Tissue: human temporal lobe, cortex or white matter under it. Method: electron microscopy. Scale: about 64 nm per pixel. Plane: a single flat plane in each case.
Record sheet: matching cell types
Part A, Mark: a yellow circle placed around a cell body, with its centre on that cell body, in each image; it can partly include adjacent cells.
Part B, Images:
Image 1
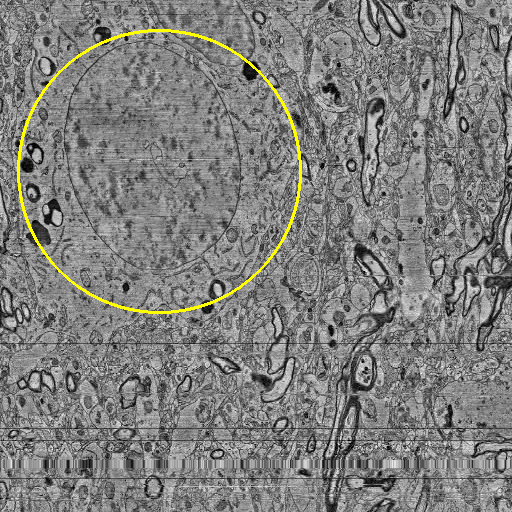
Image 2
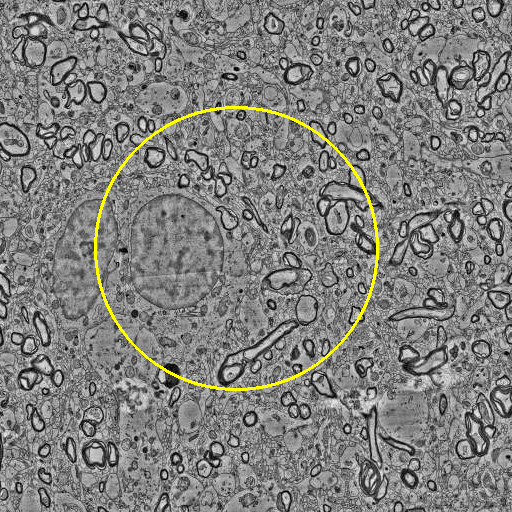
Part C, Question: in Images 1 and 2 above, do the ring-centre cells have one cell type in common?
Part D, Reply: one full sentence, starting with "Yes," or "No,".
No, the ring-centre cells of Image 1 and Image 2 are each of a separate cell type.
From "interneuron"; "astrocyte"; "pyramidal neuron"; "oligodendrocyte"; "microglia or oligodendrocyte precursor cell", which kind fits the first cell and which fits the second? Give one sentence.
The cell marked in the first picture is a pyramidal neuron, and the one marked in the second is an oligodendrocyte.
